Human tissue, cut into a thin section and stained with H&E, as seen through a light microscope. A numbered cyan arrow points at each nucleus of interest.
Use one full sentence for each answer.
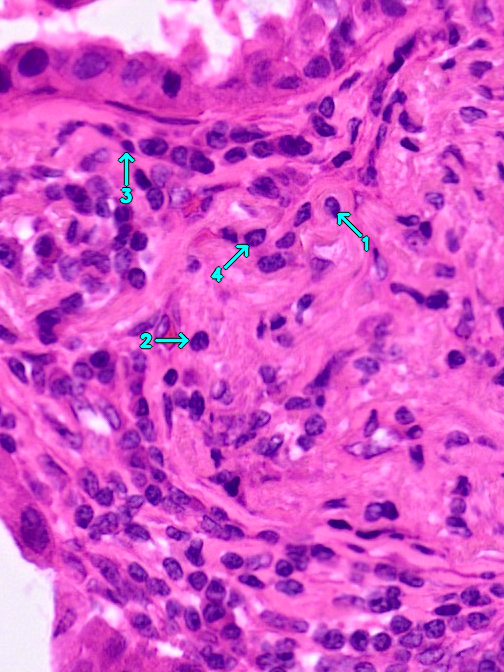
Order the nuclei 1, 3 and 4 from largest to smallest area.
The nuclei rank 4, 1, 3, from largest to smallest.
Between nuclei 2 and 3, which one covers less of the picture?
Nucleus 3 covers less area, with nucleus 2 about 2.5 times as large.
